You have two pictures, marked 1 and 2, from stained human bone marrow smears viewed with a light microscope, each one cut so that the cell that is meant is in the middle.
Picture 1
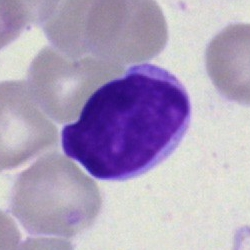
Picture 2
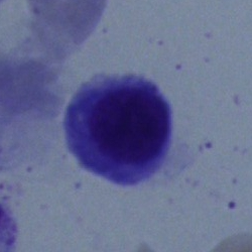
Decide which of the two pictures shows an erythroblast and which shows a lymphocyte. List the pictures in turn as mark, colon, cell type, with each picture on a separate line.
1: lymphocyte
2: erythroblast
